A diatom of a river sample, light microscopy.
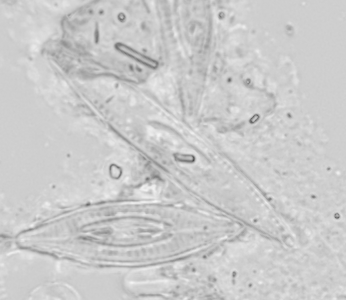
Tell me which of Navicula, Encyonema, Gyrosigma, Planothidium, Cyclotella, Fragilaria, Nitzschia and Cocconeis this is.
The picture shows Nitzschia.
